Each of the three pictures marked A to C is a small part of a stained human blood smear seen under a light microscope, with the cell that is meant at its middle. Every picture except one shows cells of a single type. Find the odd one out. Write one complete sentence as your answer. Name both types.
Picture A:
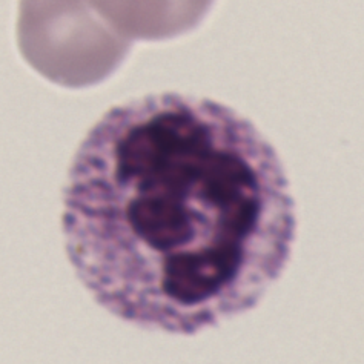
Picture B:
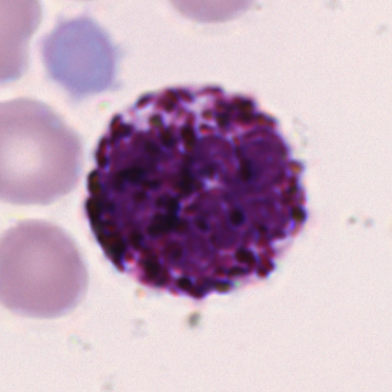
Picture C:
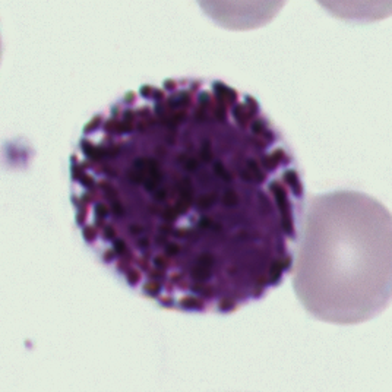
Picture A is the odd one out: it shows a segmented neutrophil, while the others show basophils.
